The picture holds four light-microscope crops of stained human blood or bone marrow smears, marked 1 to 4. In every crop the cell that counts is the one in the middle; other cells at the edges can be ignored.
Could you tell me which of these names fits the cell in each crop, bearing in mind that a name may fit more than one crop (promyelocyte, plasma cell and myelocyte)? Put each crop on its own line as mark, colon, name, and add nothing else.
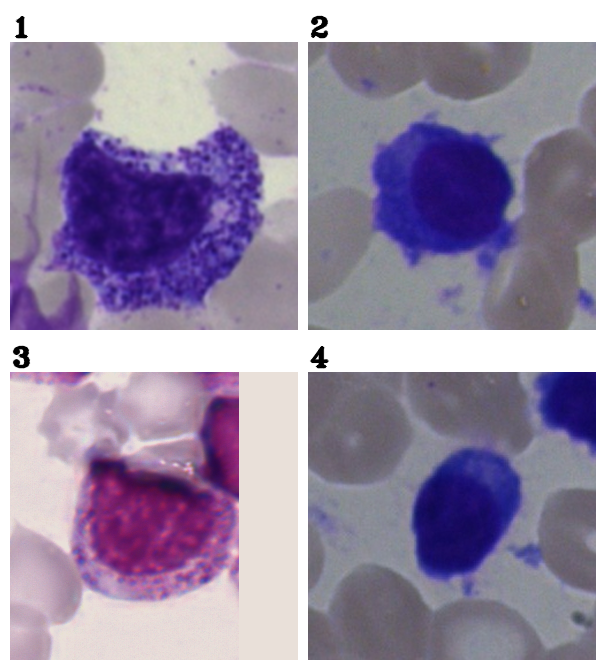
1: promyelocyte
2: plasma cell
3: myelocyte
4: plasma cell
